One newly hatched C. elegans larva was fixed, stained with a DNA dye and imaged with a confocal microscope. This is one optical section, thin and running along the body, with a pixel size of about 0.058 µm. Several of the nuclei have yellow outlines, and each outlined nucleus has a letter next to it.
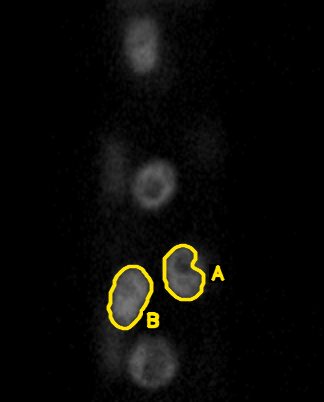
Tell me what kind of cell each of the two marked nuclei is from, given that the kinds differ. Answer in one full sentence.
The nucleus A is that of a hypodermal cell (hyp), while B is that of a P cell (ventral epidermal blast cell).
